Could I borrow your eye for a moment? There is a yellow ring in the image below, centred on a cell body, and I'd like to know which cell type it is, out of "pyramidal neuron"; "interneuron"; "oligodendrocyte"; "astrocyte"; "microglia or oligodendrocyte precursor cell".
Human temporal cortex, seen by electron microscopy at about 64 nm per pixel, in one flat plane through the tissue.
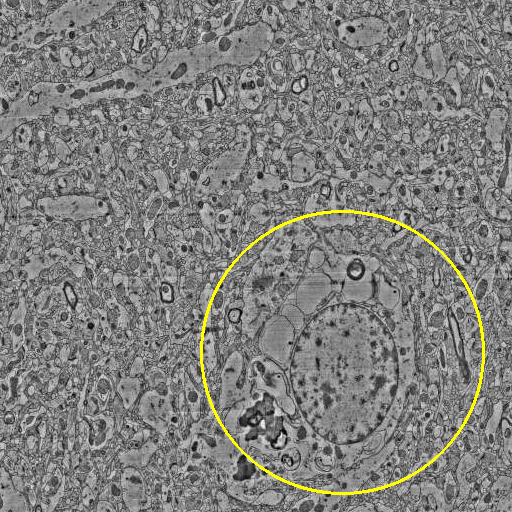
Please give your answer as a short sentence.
The cell body at the centre is that of an astrocyte.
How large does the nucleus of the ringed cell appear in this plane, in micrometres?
In this plane the nucleus is about 9 micrometres by 7.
